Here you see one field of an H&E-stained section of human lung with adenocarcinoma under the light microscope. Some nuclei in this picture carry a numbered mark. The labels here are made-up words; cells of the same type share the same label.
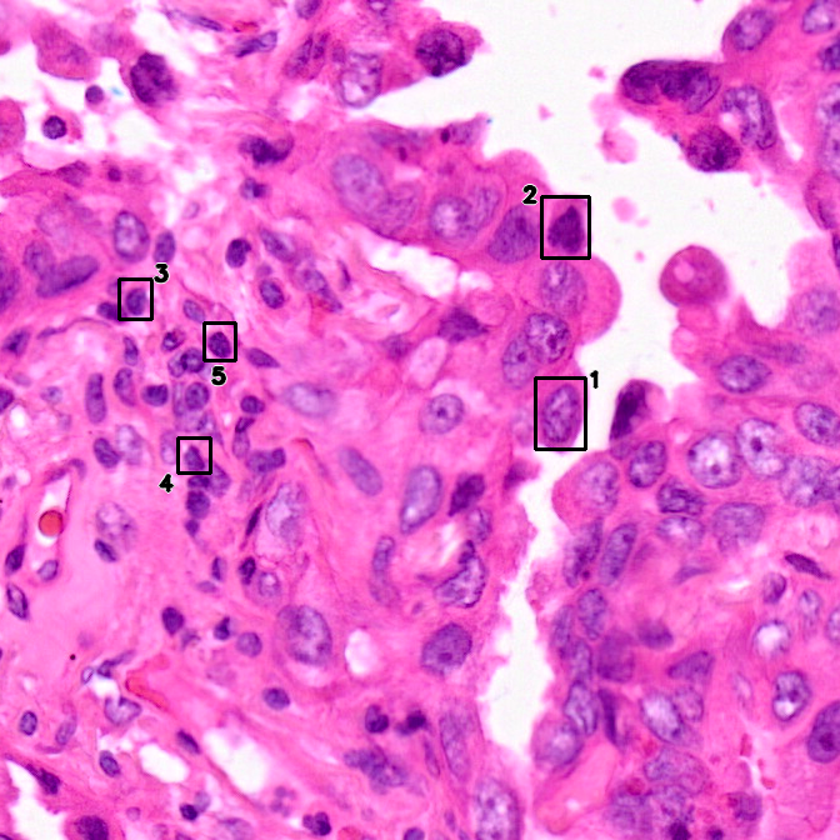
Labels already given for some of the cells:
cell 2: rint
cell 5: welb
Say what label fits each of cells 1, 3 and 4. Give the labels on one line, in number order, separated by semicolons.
rint; welb; welb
